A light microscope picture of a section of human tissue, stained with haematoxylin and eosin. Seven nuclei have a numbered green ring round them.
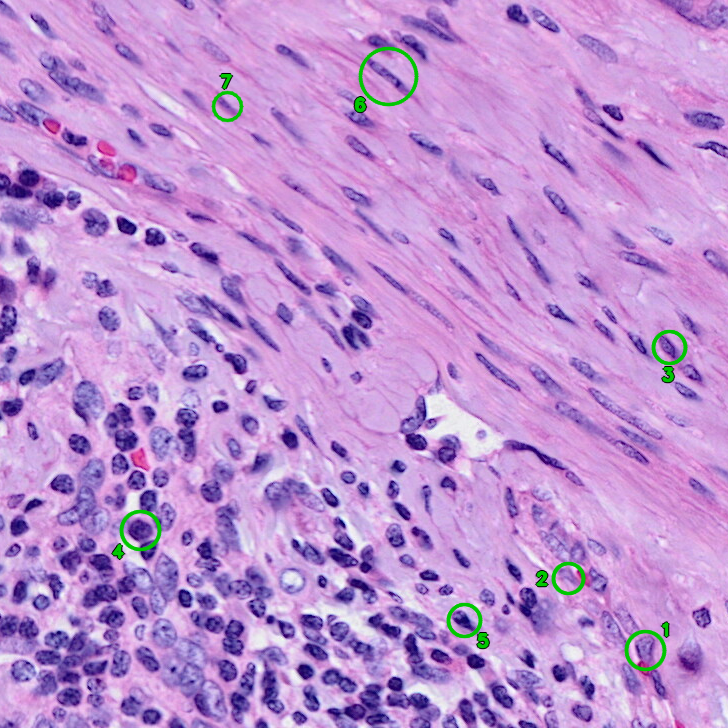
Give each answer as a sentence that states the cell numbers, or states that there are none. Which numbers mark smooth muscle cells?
The cells numbered 3, 6 and 7 are typed as smooth muscle cells.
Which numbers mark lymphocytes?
In this section, the cells numbered 4 and 5 are lymphocytes.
